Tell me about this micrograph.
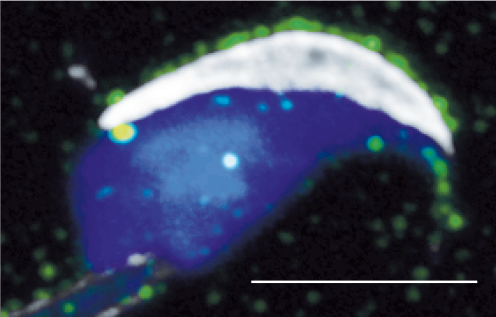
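Head of a single spermatozoon at high magnification, hooked and crescent-shaped, with a blue nucleus. A bright grey crescent lies along the upper convex edge. Numerous green dots line the outer margin of the head beyond the grey cap and continue down the curved edge, with a few brighter spots over the nucleus. A short tail segment is seen at the lower left.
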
